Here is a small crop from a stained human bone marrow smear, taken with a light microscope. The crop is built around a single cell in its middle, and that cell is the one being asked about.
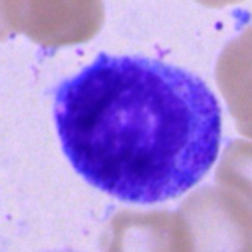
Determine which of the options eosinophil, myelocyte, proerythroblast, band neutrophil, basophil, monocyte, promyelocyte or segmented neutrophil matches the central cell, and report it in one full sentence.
On this slide crop, the central cell is a promyelocyte.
